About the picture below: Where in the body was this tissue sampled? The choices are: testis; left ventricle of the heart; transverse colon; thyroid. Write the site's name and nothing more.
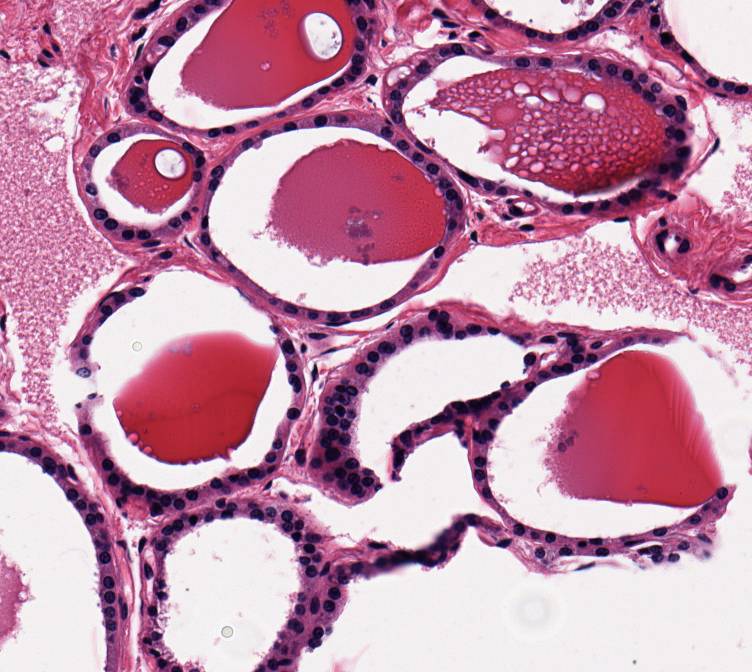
thyroid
